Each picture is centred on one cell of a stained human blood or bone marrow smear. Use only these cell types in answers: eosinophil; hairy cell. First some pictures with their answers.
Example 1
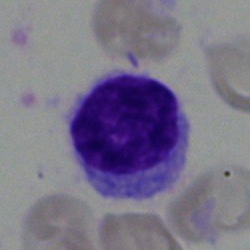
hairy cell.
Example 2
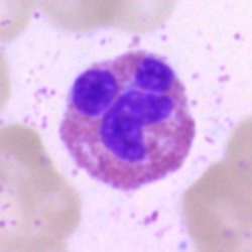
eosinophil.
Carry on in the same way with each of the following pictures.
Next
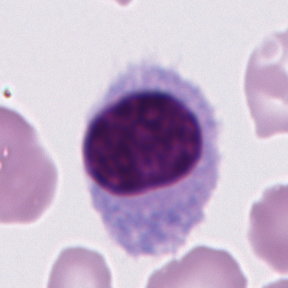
hairy cell.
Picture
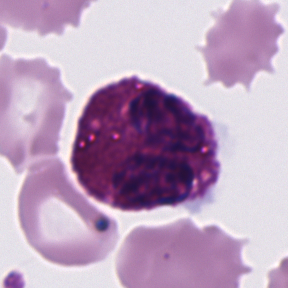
eosinophil.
